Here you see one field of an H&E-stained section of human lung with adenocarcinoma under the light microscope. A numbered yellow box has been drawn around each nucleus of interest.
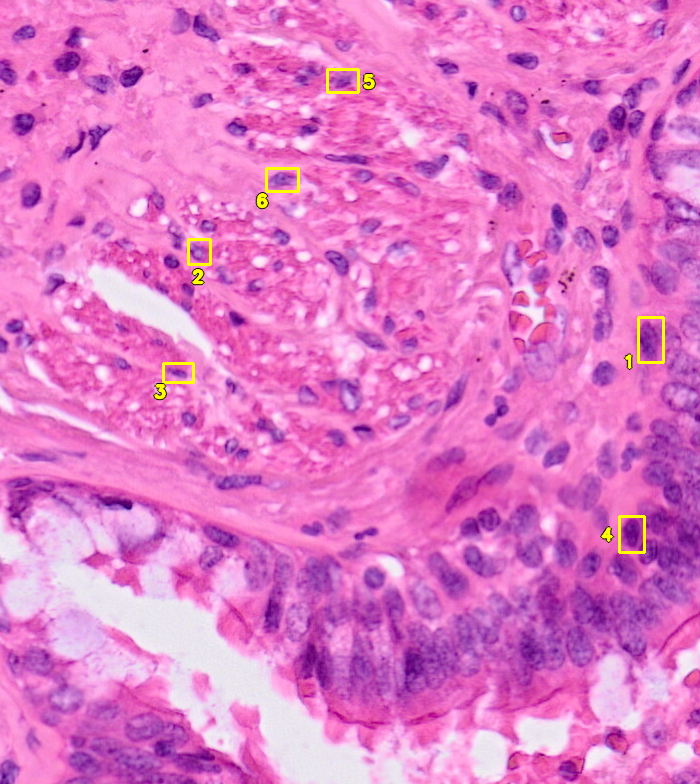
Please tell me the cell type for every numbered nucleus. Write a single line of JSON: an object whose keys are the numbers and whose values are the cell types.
{"1": "ciliated epithelial cell", "2": "smooth muscle cell or pericyte", "3": "smooth muscle cell or pericyte", "4": "ciliated epithelial cell", "5": "smooth muscle cell or pericyte", "6": "smooth muscle cell or pericyte"}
